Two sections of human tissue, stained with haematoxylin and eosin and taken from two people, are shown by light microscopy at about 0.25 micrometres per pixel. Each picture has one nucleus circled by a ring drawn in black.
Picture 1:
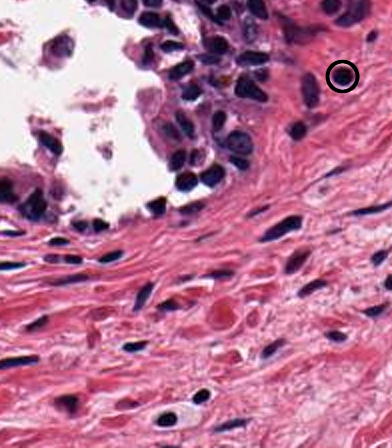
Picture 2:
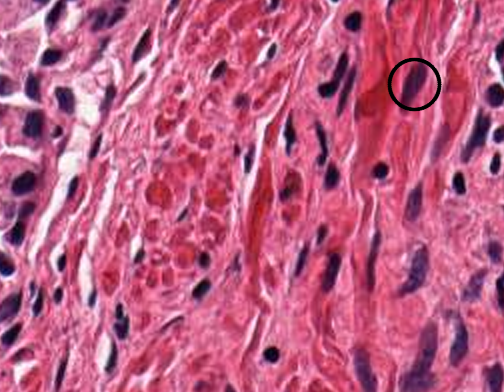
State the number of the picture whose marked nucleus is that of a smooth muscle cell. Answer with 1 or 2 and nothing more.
2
